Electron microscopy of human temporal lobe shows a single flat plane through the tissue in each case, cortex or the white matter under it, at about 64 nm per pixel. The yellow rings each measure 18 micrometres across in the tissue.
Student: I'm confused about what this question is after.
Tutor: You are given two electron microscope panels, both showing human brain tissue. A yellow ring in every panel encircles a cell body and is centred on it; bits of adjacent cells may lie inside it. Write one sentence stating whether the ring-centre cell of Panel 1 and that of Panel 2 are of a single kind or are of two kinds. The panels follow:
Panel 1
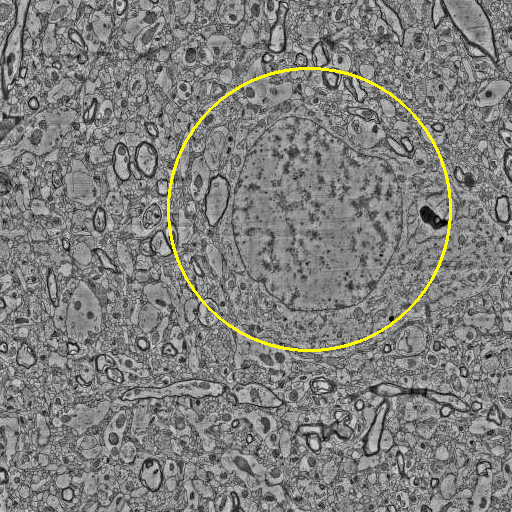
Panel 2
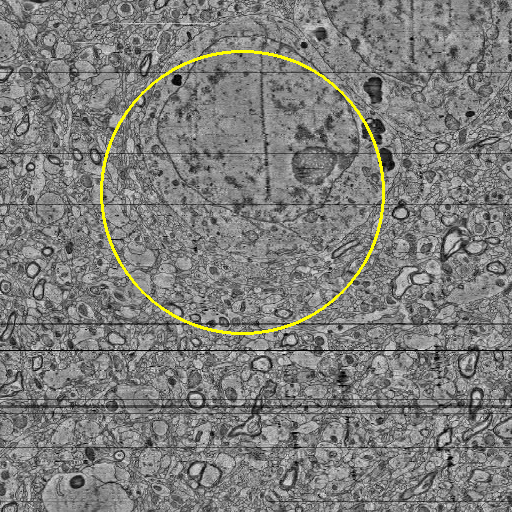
Here, the Panel 1 ring-centre cell and the Panel 2 ring-centre cell are of a single kind.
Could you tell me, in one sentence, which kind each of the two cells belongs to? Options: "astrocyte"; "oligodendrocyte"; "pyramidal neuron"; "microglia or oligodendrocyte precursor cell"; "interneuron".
Each one of the two ringed cells is a pyramidal neuron.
